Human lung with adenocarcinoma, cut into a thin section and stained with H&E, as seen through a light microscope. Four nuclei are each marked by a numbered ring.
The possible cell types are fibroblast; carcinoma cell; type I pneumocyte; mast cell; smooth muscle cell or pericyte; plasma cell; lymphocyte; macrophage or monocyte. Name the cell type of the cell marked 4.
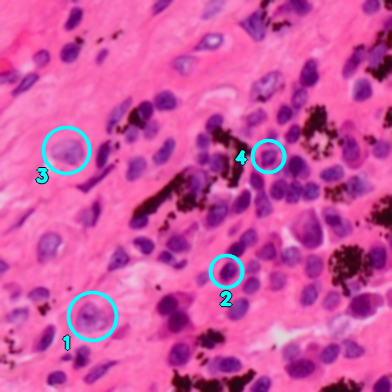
lymphocyte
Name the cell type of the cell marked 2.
lymphocyte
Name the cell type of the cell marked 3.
fibroblast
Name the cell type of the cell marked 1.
fibroblast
